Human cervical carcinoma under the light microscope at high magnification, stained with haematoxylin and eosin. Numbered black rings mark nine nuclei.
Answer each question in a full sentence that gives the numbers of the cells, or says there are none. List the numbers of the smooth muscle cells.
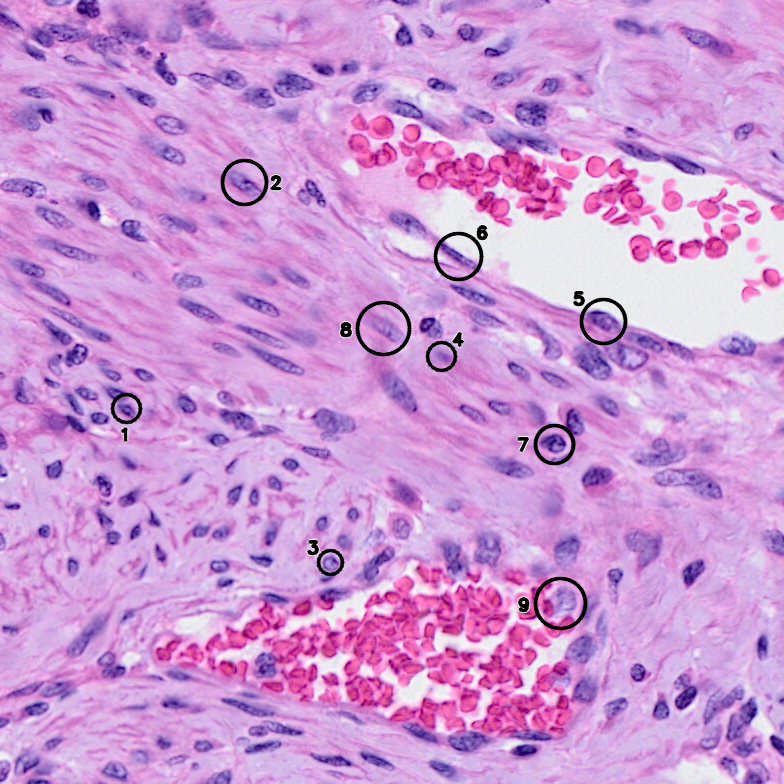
Marked by the numbers 1, 2, 3, 4 and 8 are cells that are smooth muscle cells.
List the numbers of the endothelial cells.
Cells 5, 6 and 9 share one type; they are endothelial cells.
